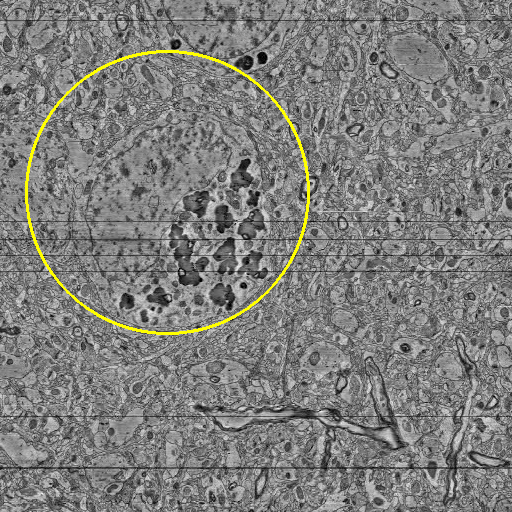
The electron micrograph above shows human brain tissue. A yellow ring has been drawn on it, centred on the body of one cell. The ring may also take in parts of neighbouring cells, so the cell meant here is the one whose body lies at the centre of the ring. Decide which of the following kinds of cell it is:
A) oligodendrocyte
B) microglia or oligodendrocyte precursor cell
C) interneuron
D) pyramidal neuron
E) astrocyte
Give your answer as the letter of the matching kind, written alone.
E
